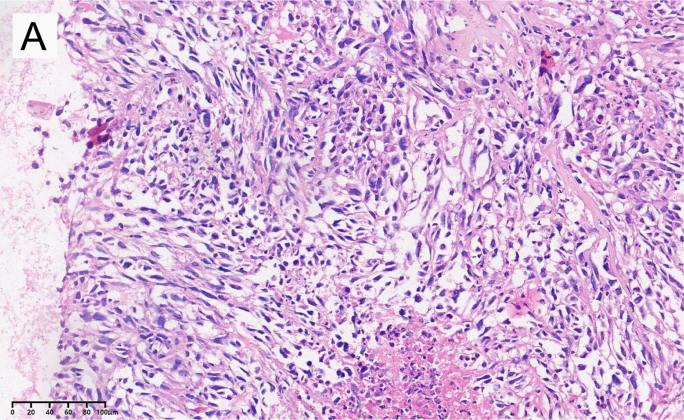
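A malignant tumour made largely of spindle-shaped cells, arranged in loose, interweaving fascicles within a pale, loose stroma. The nuclei are elongated to oval, dark and irregular, with scattered larger pleomorphic nuclei, and the cytoplasm is scant and pale pink. A small area of red blood cells lies near the bottom.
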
